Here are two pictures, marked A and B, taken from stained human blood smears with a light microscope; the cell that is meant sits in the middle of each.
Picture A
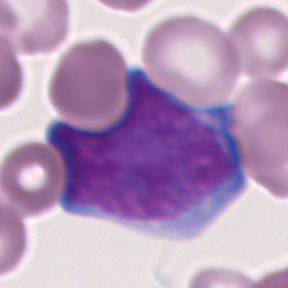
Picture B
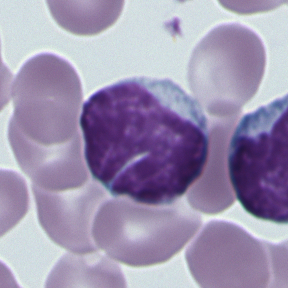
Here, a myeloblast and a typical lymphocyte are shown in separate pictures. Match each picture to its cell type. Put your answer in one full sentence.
It is picture A that shows a myeloblast, and picture B that shows a typical lymphocyte.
